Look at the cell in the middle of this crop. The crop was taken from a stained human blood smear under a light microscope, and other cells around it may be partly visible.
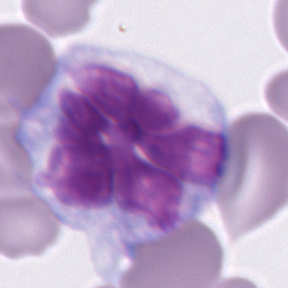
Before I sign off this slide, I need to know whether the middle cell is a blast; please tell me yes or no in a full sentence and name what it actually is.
No, that is not a blast; the middle cell is a monocyte.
